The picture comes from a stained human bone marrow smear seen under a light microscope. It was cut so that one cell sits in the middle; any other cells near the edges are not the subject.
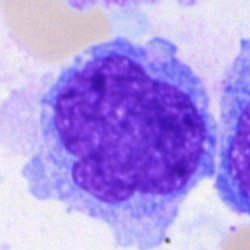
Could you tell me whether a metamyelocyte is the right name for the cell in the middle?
no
